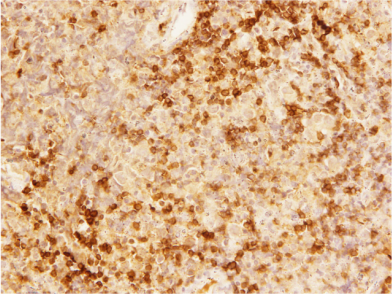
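Tumour tissue of large polygonal cells with pale cytoplasm and round nuclei, infiltrated by numerous small round cells with dark brown staining. The small brown cells lie in dense clusters and bands between the tumour cells.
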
